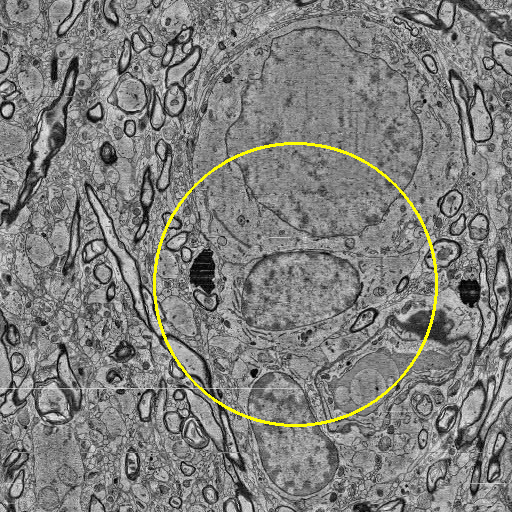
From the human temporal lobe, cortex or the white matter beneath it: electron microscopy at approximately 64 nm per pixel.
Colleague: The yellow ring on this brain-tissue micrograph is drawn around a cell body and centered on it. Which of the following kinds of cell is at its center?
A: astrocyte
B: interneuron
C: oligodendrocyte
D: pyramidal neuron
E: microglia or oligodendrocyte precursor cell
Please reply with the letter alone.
E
